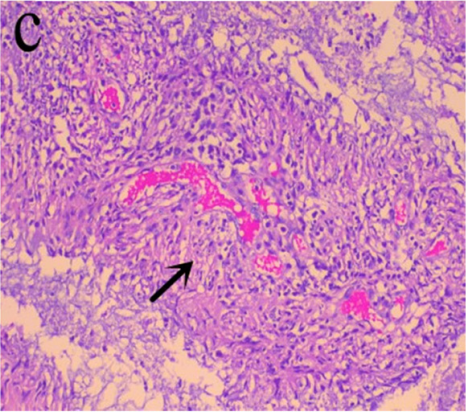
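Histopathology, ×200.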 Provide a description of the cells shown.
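Vasculitis: a small blood vessel filled with red blood cells is surrounded and its wall infiltrated by densely packed inflammatory cells with dark nuclei. The surrounding tissue is loose and pale with cleared spaces toward the edges.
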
